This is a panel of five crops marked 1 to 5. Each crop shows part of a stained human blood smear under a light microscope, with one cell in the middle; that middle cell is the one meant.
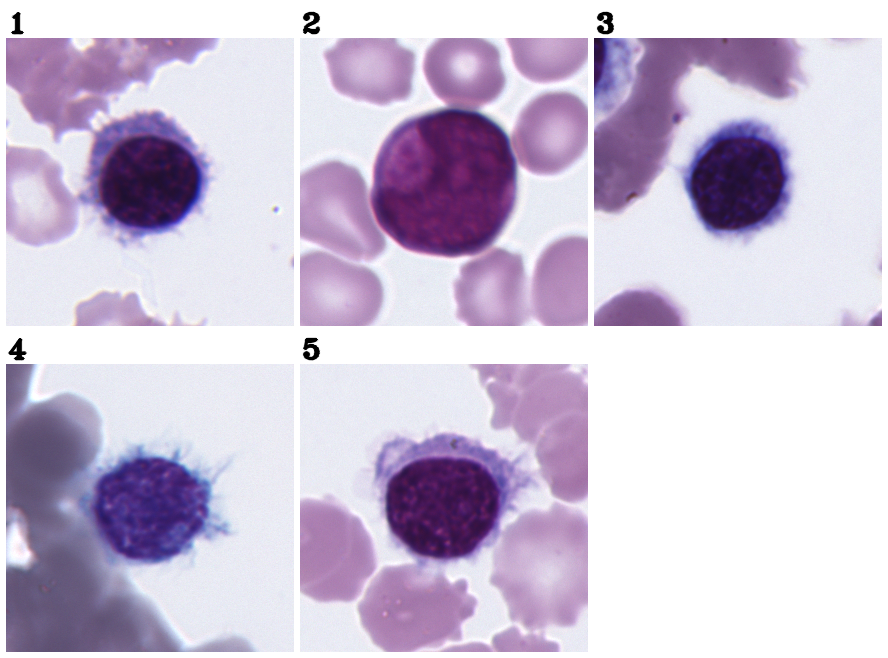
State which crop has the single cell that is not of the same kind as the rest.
2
